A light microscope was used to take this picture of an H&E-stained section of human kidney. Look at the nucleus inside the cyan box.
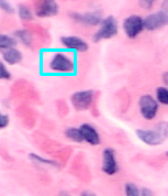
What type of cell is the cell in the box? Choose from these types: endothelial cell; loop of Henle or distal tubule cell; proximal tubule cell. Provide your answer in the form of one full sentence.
The cell type represented by the cell in the box is that of an endothelial cell.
